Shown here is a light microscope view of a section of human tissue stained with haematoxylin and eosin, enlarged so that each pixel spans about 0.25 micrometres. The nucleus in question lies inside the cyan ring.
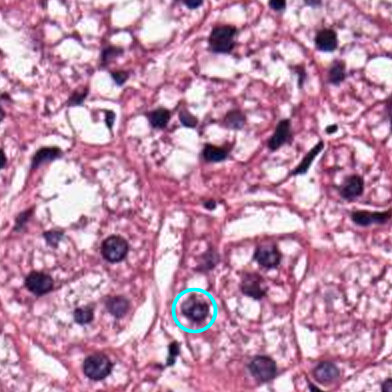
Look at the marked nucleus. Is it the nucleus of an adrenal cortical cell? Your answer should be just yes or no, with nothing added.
yes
